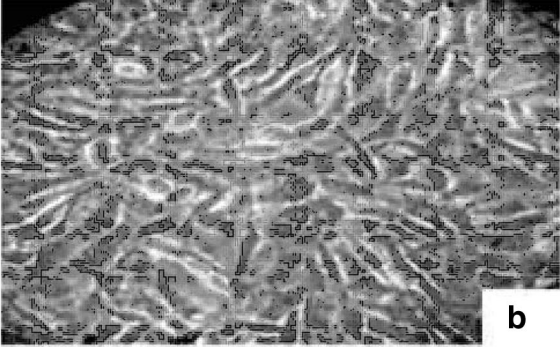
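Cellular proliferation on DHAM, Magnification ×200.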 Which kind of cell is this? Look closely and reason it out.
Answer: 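Cells are elongated and spindle-shaped with bright edges. Cells lie in loose, partly parallel streams. That points to this answer: fibroblasts.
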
